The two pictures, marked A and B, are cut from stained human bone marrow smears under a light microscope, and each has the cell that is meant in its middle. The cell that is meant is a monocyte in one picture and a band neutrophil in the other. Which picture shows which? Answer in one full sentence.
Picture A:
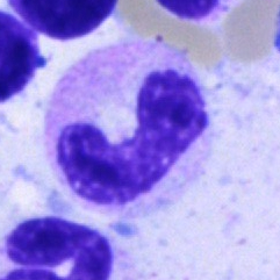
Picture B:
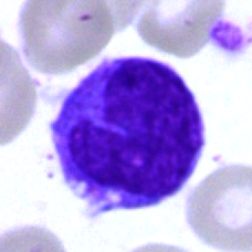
In picture A the cell is a band neutrophil; in picture B, a monocyte.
